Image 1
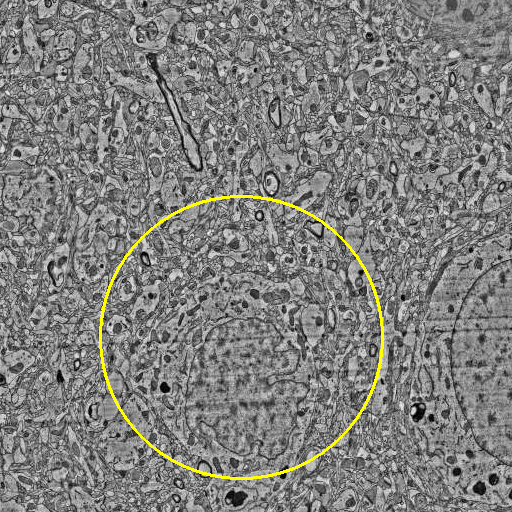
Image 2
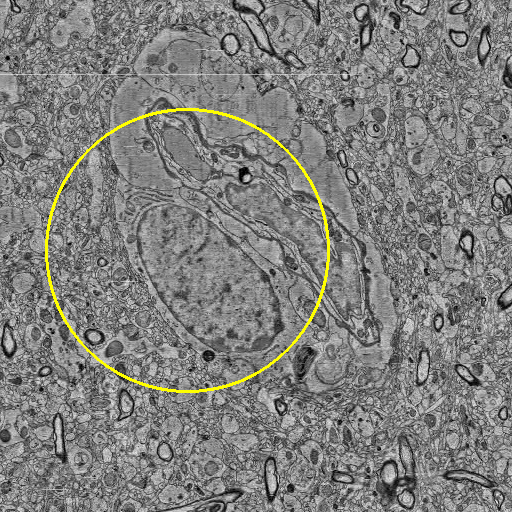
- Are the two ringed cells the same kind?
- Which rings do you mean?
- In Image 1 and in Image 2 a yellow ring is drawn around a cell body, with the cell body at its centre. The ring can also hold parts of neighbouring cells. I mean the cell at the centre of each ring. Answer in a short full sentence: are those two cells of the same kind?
No, the cells are of two kinds.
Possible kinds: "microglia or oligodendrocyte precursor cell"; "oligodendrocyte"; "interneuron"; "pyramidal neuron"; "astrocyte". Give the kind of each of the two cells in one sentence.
The cell in the second picture is a microglial cell or oligodendrocyte precursor cell, and that in the first is an interneuron.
